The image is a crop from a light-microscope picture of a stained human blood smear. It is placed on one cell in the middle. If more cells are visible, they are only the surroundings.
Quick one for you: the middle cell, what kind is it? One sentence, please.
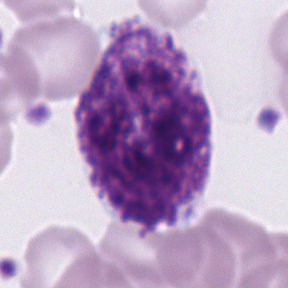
The cell in the middle of the field of view is a basophil.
